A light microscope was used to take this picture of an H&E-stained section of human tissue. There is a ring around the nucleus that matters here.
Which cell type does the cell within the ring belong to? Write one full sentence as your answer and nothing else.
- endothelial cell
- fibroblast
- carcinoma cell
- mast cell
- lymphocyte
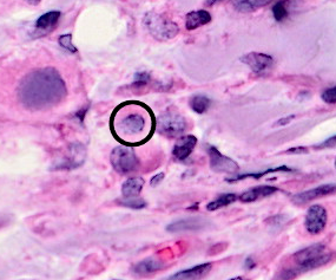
Speaking plainly, the cell within the ring is nothing other than a mast cell.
